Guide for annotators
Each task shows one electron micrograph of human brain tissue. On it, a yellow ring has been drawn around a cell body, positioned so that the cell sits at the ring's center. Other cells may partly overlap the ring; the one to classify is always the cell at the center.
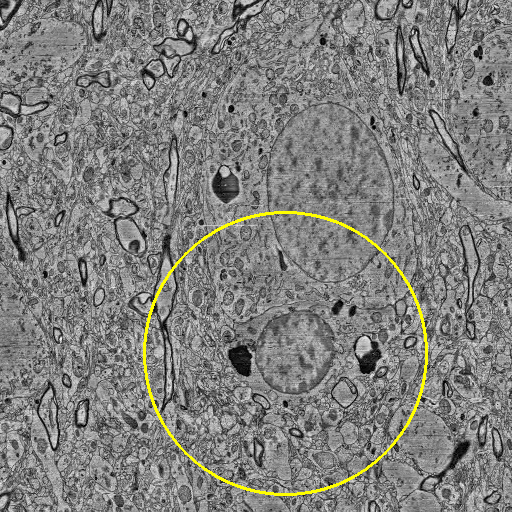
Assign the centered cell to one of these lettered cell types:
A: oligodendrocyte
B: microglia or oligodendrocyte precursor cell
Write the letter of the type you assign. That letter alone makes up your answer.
A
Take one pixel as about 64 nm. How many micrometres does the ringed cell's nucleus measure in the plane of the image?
In this plane, the nucleus of the cell at the centre of the ring is about 5 micrometres across.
